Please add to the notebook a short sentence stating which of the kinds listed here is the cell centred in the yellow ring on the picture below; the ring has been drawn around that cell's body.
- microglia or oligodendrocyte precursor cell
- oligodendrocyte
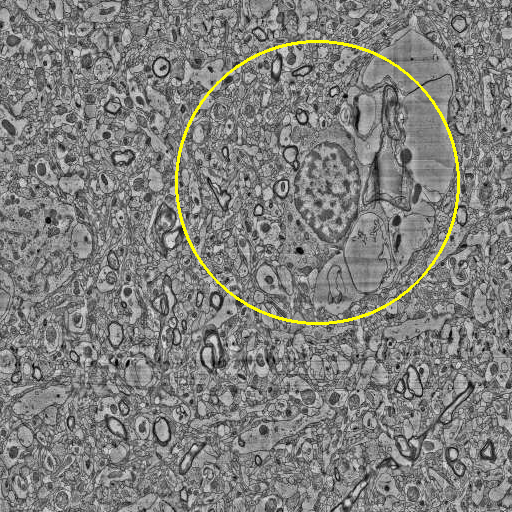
The cell centred in the yellow ring is an oligodendrocyte.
